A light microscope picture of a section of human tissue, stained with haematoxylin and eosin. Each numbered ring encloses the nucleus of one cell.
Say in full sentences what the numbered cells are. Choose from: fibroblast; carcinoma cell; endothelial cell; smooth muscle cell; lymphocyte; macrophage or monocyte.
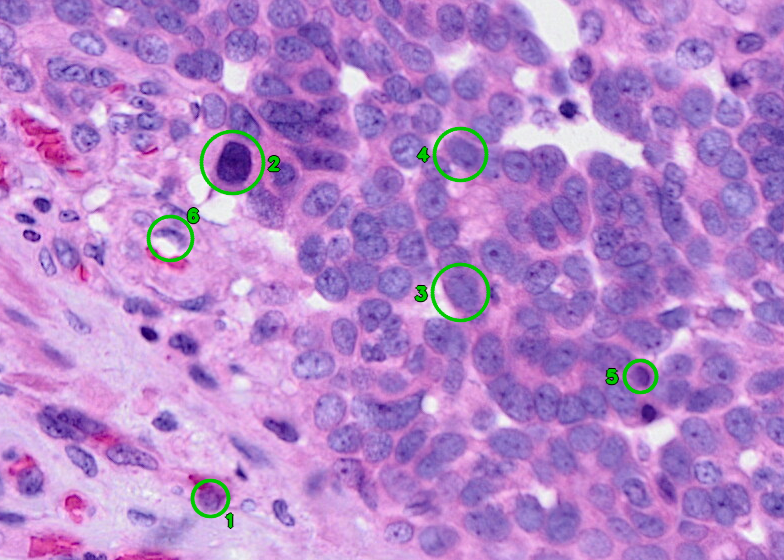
Cells 1 and 6 are endothelial cells. Cells 2, 3, 4 and 5 are carcinoma cells.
